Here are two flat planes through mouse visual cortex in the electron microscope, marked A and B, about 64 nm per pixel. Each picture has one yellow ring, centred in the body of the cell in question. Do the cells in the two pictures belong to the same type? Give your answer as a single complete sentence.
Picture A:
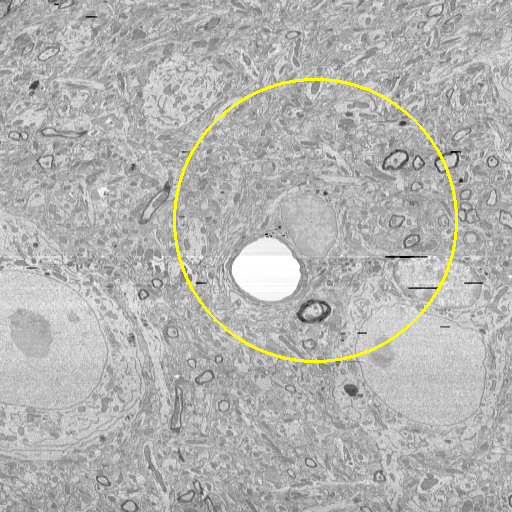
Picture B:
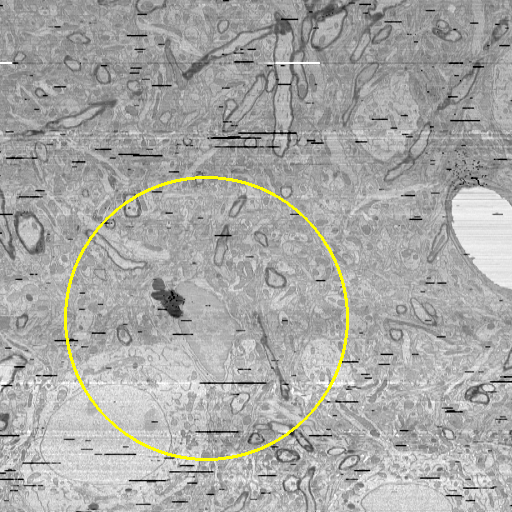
Yes, the two pictures both show microglial cells.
